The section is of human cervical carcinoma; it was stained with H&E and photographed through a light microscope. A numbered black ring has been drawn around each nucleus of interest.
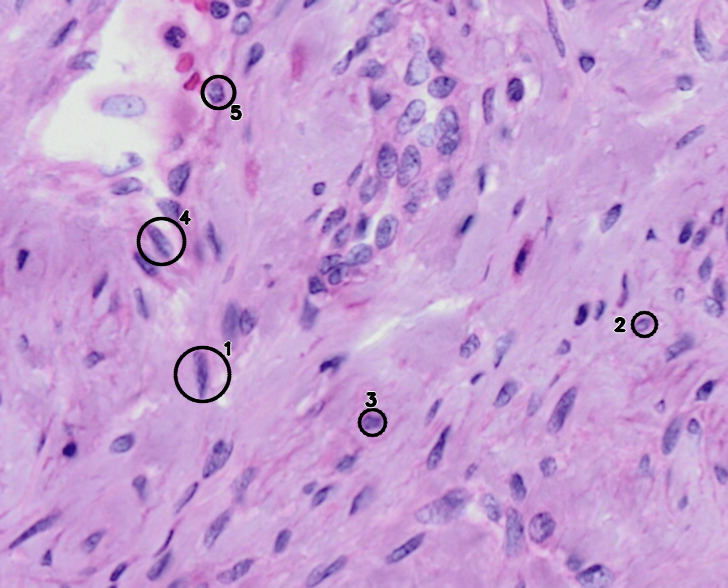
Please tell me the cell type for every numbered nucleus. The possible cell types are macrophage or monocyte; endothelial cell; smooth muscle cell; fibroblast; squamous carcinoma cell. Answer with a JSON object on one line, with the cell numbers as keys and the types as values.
{"1": "fibroblast", "2": "smooth muscle cell", "3": "smooth muscle cell", "4": "endothelial cell", "5": "endothelial cell"}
